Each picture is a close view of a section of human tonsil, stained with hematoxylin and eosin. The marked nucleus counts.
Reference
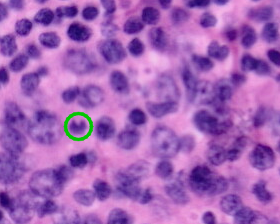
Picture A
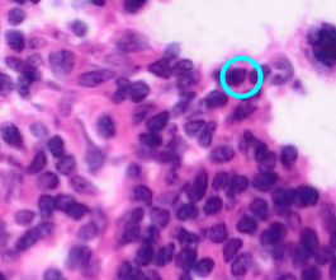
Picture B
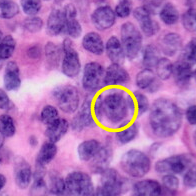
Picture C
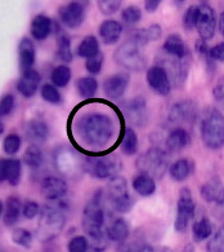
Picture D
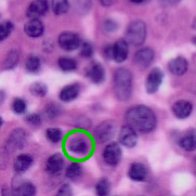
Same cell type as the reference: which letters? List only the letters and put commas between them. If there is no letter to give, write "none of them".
B, C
